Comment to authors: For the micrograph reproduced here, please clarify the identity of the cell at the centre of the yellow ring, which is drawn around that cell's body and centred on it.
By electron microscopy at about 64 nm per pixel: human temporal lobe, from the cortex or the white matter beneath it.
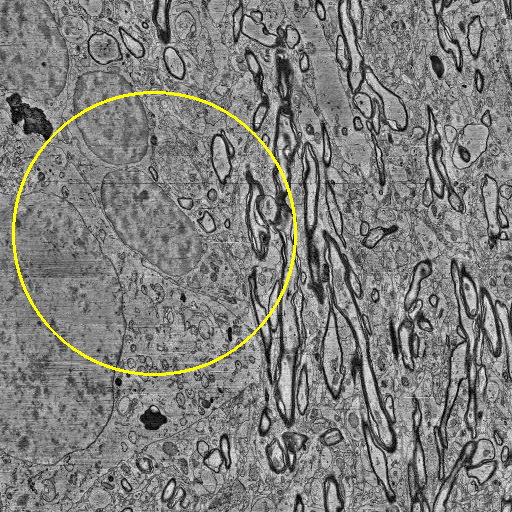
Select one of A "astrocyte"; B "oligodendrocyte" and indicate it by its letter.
B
